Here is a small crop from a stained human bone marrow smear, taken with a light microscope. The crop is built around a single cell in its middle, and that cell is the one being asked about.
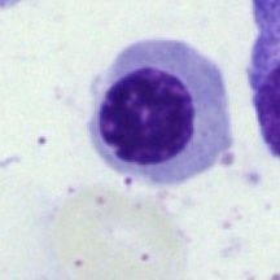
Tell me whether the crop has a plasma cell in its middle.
no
